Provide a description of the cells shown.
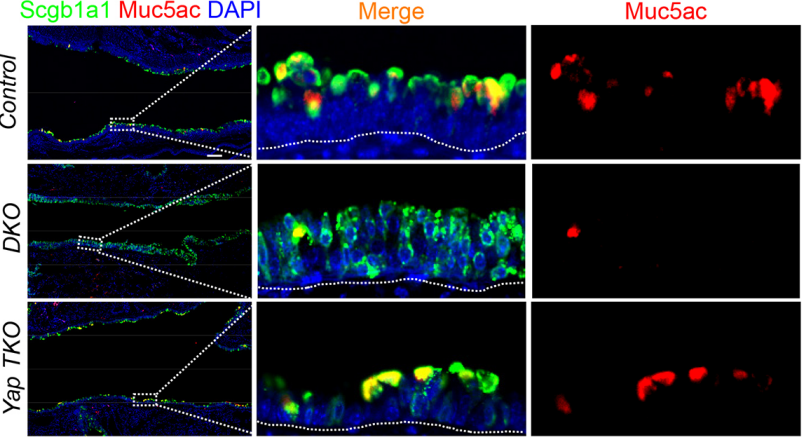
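This is airway lining in three rows, each an overview of folded airway walls with an enlarged stretch beside it. The lining is a layer of closely set cells with blue nuclei, many with green cytoplasm facing the lumen; a white dotted line traces its base, with sparse connective tissue below. Scattered goblet cells show rounded red cytoplasm, often overlapping green to look yellow. In one row the lining is thicker and crowded with green cells while red cells are almost absent; in the other rows red cells are plentiful along the luminal surface.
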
